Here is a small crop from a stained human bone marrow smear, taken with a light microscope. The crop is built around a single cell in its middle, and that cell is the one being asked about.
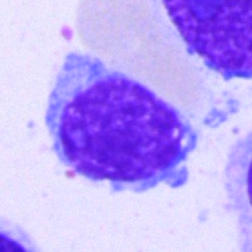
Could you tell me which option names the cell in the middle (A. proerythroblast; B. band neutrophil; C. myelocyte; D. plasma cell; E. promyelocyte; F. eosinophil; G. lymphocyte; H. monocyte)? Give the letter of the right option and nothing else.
G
